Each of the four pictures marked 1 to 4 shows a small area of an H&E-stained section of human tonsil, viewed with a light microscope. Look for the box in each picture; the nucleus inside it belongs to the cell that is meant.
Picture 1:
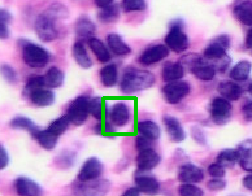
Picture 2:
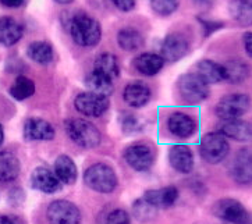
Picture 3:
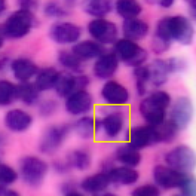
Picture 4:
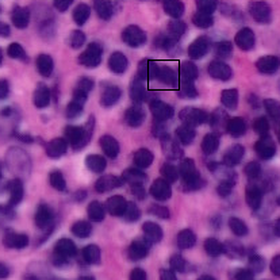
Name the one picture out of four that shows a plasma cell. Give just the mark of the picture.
2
